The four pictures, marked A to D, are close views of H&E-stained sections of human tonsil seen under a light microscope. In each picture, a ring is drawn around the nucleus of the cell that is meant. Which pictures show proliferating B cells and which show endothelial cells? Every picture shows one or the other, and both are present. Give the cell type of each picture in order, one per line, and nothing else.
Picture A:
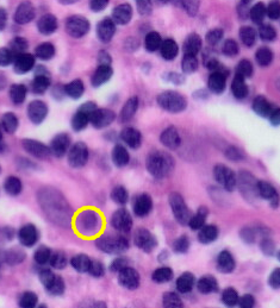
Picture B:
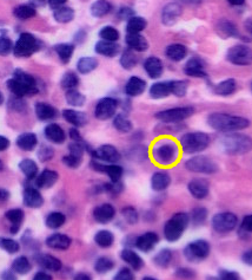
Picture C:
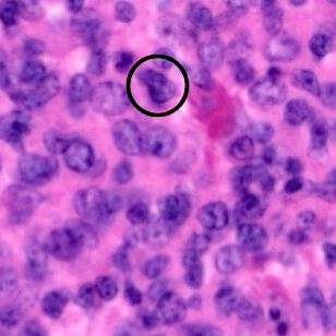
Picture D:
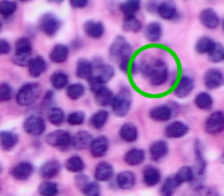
endothelial cell
endothelial cell
proliferating B cell
proliferating B cell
